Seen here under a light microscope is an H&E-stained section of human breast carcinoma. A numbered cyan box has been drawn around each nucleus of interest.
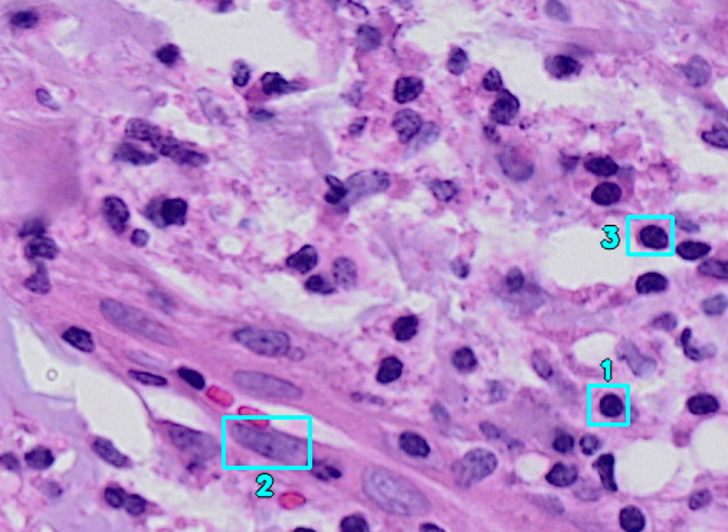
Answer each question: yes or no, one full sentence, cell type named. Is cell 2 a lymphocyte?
No, a lymphocyte is not what cell 2 is; it is an endothelial cell.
